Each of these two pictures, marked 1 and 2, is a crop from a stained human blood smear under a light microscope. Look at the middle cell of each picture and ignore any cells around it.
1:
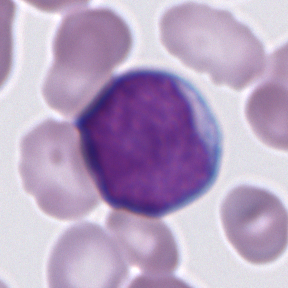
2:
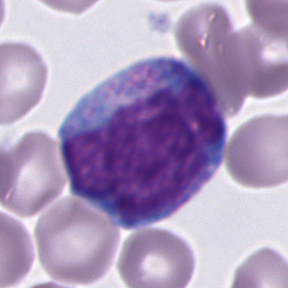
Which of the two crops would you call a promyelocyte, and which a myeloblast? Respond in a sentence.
Recognised in crop 1 is a myeloblast, and recognised in crop 2 is a promyelocyte.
